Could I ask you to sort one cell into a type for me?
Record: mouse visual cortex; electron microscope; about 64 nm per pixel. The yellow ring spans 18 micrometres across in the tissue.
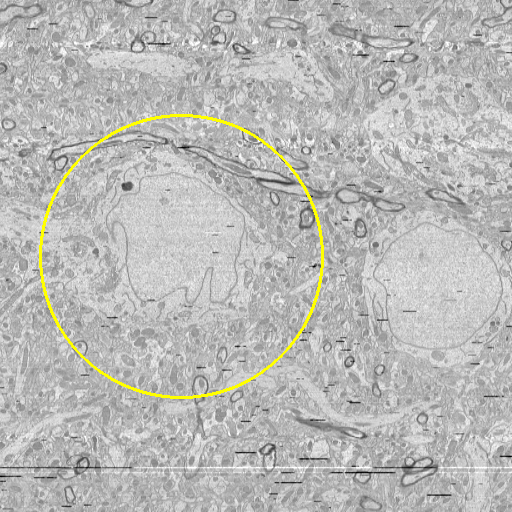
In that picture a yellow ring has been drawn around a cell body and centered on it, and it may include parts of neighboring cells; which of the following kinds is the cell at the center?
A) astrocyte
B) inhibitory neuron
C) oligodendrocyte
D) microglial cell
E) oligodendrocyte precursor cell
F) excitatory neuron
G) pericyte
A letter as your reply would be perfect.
F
